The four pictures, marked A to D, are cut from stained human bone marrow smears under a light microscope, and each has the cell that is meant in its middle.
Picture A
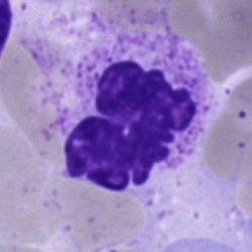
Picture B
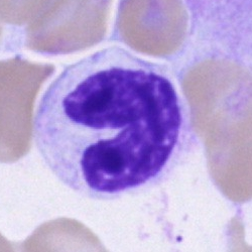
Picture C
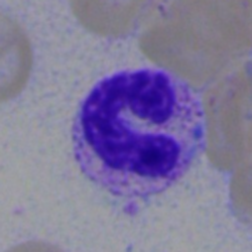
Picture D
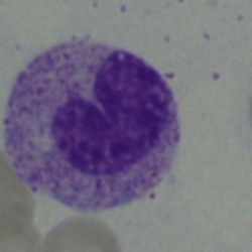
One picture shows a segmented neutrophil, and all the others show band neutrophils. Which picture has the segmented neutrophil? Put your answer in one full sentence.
Picture A is the one that shows the segmented neutrophil.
